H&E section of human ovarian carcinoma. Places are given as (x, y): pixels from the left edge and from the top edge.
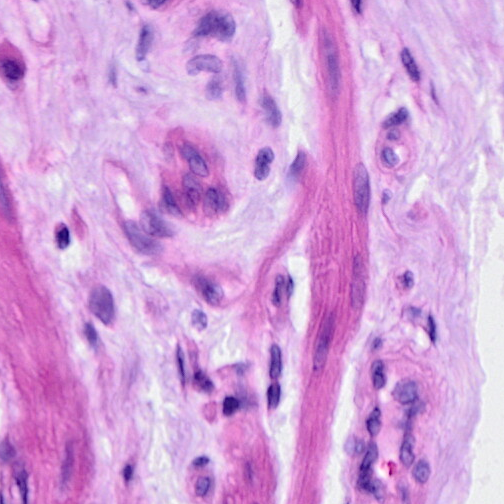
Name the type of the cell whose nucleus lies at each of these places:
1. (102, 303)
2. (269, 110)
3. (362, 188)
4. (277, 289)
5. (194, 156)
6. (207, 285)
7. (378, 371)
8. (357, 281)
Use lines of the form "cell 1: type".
cell 1: fibroblast
cell 2: fibroblast
cell 3: smooth muscle cell
cell 4: endothelial cell
cell 5: smooth muscle cell
cell 6: endothelial cell
cell 7: endothelial cell
cell 8: smooth muscle cell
